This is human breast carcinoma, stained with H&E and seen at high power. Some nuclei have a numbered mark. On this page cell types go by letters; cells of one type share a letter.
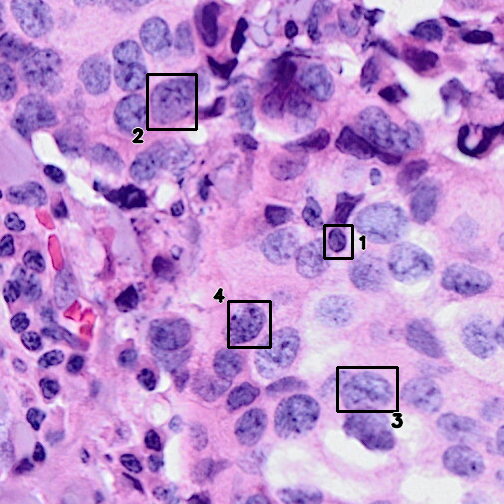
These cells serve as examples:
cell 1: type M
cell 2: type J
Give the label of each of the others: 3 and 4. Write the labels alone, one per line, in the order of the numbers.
type J
type J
